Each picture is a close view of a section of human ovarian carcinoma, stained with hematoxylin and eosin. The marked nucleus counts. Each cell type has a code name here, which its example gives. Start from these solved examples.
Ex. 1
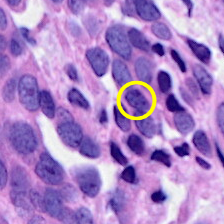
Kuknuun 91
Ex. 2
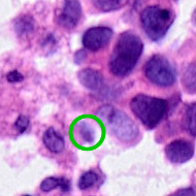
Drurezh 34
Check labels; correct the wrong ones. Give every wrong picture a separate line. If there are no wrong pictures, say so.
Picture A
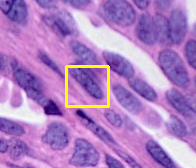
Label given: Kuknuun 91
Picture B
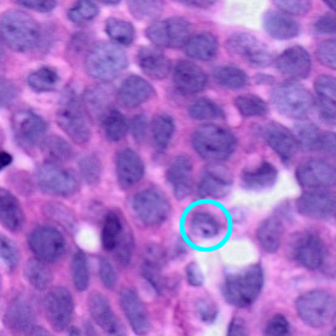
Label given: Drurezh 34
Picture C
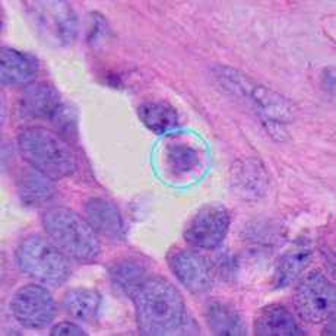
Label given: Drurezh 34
Nothing to fix; every label fits.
